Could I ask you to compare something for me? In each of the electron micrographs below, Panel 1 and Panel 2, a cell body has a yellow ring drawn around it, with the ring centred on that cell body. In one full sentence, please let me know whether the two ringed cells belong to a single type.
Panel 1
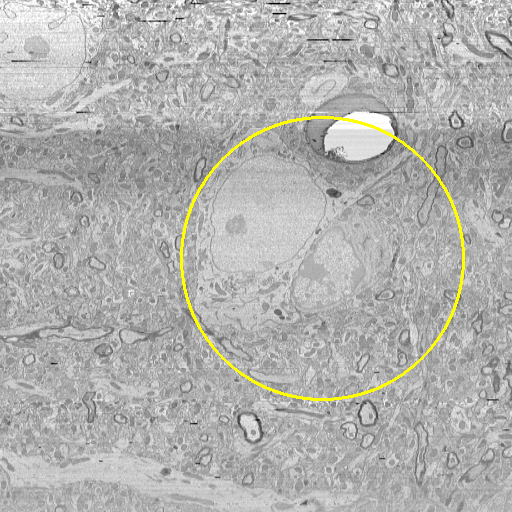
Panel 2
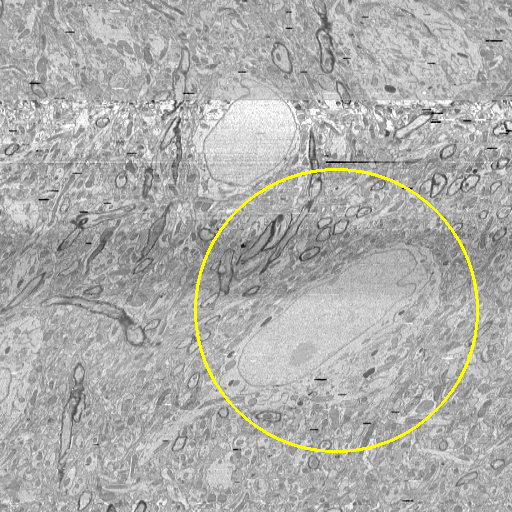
No, the two cells at the centres of the rings are of two types.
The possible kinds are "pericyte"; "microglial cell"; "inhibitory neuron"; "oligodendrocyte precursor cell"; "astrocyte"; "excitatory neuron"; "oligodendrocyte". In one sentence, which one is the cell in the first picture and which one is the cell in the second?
The cell ringed in the second picture is an excitatory neuron, whereas the one ringed in the first is an oligodendrocyte.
